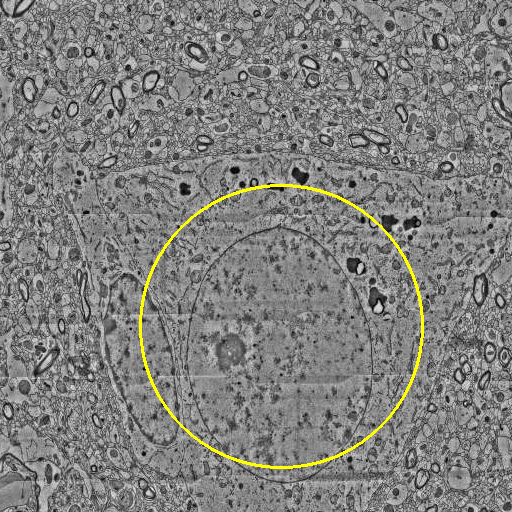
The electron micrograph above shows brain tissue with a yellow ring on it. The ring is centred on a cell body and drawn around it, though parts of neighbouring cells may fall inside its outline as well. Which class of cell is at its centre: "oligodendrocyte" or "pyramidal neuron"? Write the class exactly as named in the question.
pyramidal neuron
